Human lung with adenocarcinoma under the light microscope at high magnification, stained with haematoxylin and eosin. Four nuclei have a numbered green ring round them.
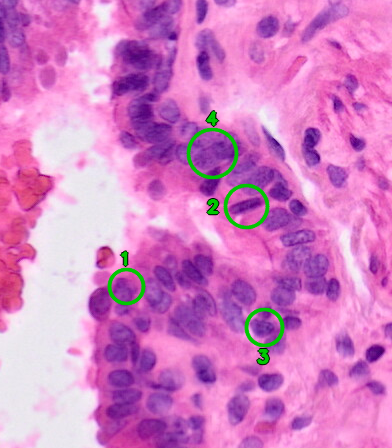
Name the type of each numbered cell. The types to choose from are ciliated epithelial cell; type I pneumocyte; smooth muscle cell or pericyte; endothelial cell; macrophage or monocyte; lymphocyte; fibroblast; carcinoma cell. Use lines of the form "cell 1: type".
cell 1: ciliated epithelial cell
cell 2: ciliated epithelial cell
cell 3: lymphocyte
cell 4: ciliated epithelial cell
